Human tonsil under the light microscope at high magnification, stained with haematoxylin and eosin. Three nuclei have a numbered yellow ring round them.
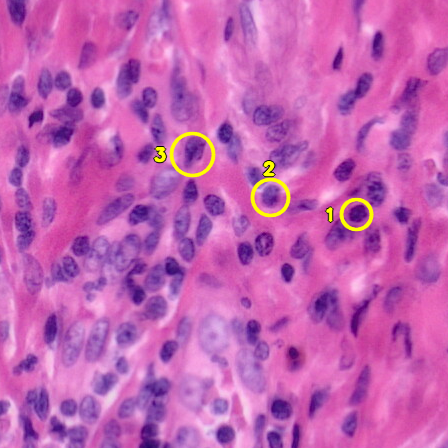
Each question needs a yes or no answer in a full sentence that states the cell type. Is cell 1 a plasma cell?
Yes, number 1 in this section denotes a plasma cell.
